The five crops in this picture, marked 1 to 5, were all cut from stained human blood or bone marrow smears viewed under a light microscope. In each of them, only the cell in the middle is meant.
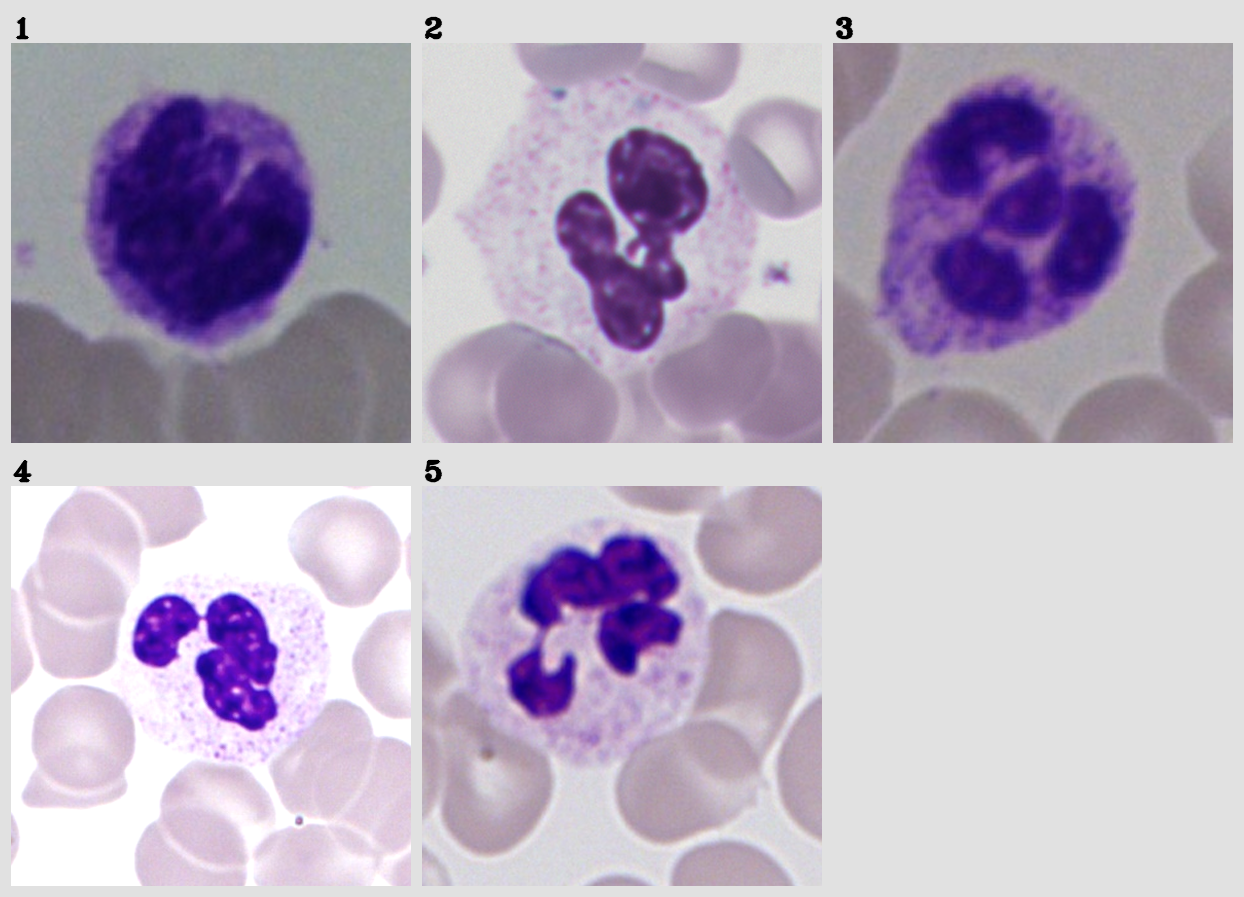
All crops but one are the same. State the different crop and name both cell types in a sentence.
The crop that differs is 1, which is a basophil; the rest are segmented neutrophils.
